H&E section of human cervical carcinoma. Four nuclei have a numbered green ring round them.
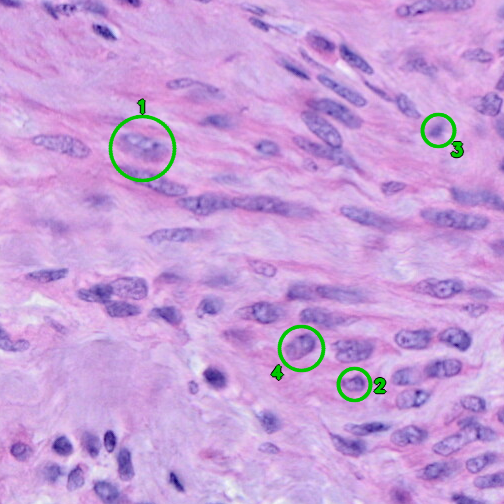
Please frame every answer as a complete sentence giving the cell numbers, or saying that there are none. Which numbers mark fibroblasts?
Within the set of numbered cells, only number 3 is a fibroblast.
